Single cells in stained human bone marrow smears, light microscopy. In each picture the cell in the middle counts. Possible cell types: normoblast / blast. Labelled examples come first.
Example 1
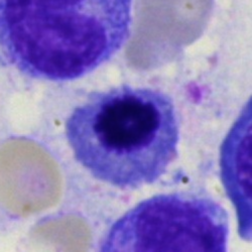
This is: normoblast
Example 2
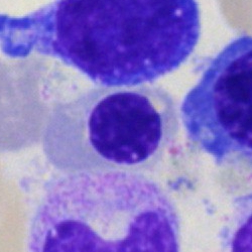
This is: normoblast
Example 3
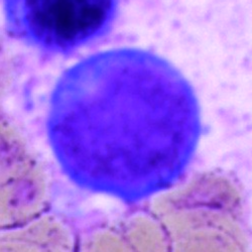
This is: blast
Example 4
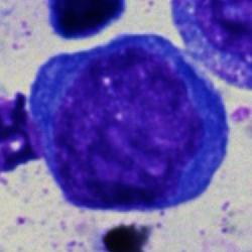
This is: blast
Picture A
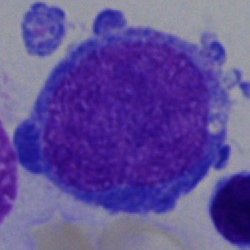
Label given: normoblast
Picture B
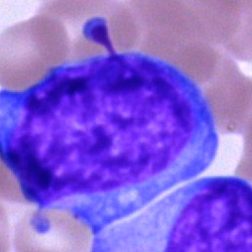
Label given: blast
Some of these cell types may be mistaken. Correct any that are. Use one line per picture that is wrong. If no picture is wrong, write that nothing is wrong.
A is labelled normoblast; correct label: blast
